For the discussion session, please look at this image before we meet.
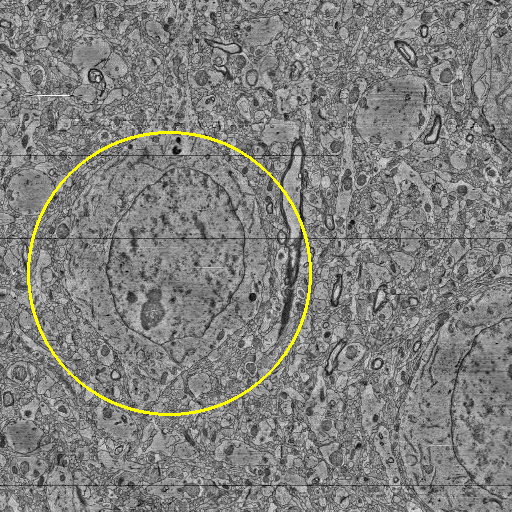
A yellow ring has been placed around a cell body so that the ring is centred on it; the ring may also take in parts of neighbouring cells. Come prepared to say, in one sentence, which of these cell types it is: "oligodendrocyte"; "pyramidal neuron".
The cell centred in the ring is a pyramidal neuron.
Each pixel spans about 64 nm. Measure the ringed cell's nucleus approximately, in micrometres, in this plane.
Roughly 12 by 9 micrometres in this plane, for the nucleus of the ringed cell.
